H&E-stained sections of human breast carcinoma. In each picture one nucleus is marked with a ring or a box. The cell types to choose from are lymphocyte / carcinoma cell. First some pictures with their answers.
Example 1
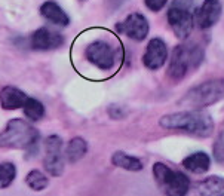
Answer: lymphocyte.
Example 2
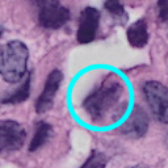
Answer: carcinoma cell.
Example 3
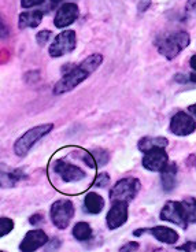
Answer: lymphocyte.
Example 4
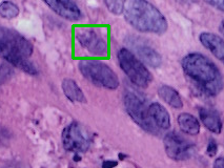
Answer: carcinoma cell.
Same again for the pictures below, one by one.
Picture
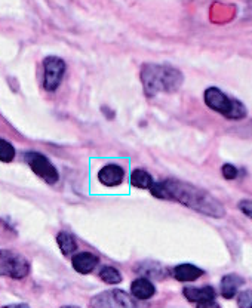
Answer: lymphocyte.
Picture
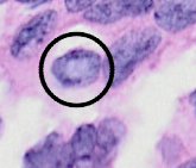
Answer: carcinoma cell.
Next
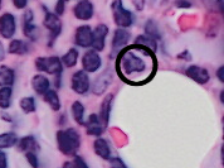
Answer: lymphocyte.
